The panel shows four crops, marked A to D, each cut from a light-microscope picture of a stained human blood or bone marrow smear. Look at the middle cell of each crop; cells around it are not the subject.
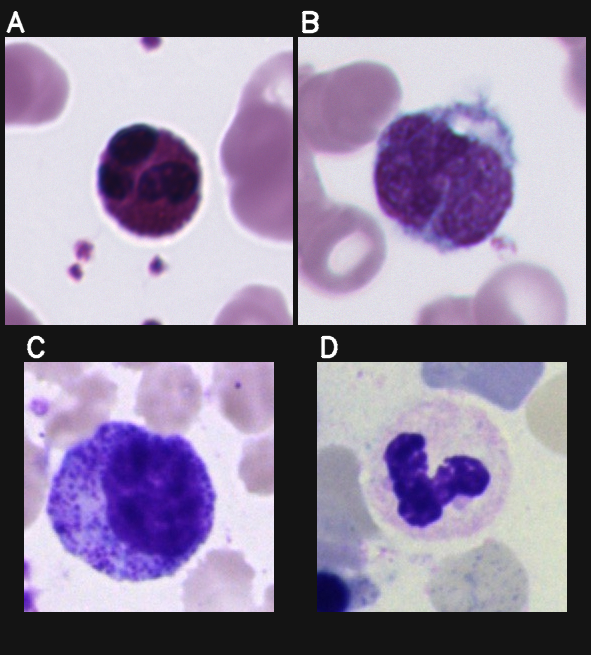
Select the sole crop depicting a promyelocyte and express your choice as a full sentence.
Crop C is where a promyelocyte is to be found.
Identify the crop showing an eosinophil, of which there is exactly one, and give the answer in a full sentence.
Crop A is the crop containing an eosinophil.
